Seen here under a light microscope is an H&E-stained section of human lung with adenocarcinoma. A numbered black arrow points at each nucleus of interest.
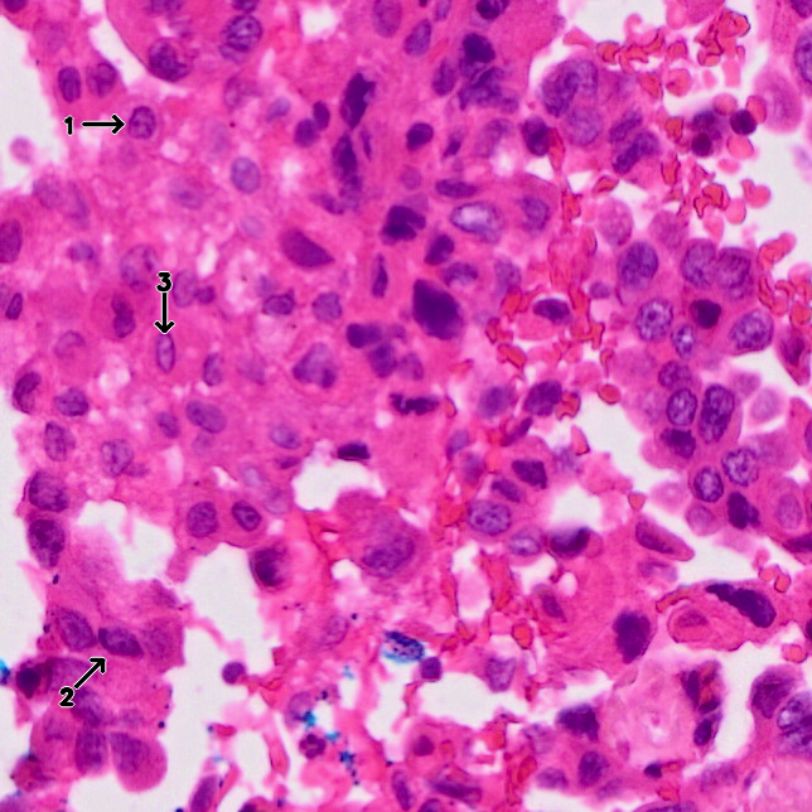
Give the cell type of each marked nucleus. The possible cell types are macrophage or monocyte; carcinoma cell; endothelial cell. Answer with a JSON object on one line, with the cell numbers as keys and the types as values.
{"1": "macrophage or monocyte", "2": "carcinoma cell", "3": "macrophage or monocyte"}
